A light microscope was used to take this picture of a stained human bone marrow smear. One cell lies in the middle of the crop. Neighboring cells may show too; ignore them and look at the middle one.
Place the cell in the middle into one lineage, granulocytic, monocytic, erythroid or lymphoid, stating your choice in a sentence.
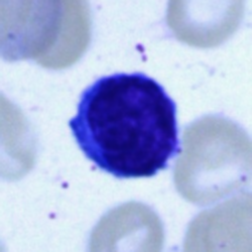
Lineage-wise, the central cell here belongs with the lymphoid series.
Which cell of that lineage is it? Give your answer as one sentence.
The cell featured at the centre of this crop is a lymphocyte.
